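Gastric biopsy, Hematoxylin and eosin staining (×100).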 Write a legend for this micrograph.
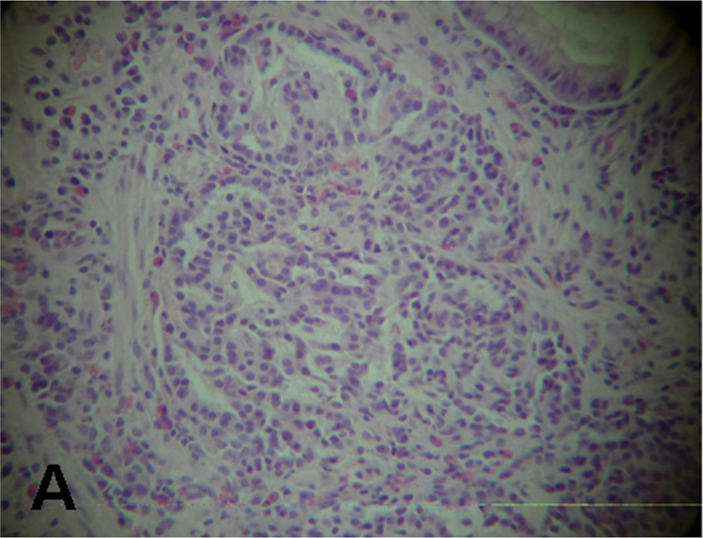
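This shows a tumour in stomach mucosa made of small round-oval cells laid out in trabecular structures: branching cords and ribbons of closely packed cells, separated by thin strands of pale pink fibrous stroma. The nuclei are round to oval and dark purple, fairly uniform, with little pinkish cytoplasm around them. Some small blood vessels with red cells run in the stroma between the cords. In the upper right corner a strip of surface epithelium with taller columnar cells can be seen, set apart from the infiltrating tumour cells.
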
